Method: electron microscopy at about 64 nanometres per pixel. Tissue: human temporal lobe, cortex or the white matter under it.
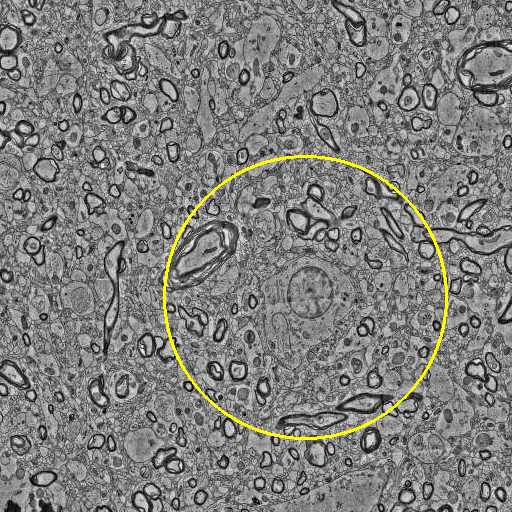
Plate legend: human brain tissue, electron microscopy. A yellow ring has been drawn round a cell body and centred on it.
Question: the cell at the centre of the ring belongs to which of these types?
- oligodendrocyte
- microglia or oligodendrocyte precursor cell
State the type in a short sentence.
The cell in the middle of the ring is a microglial cell or oligodendrocyte precursor cell.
